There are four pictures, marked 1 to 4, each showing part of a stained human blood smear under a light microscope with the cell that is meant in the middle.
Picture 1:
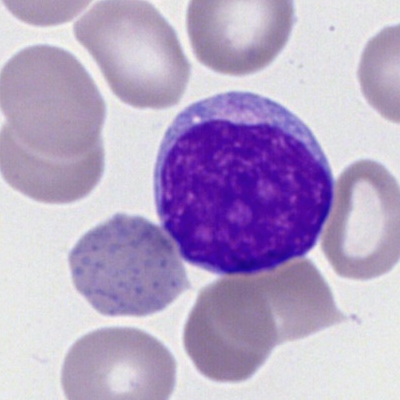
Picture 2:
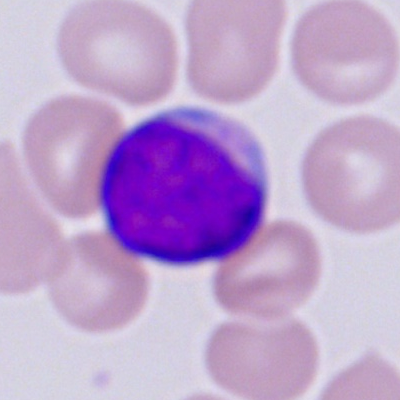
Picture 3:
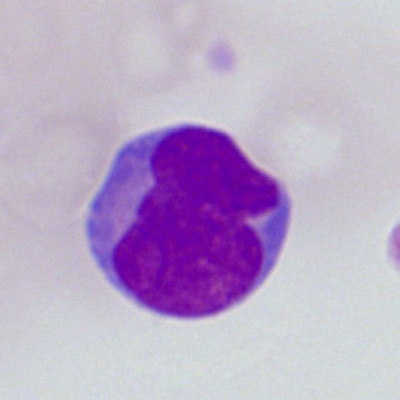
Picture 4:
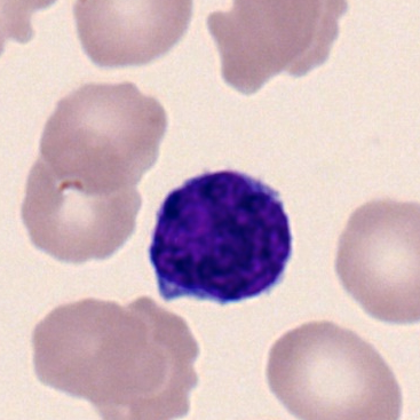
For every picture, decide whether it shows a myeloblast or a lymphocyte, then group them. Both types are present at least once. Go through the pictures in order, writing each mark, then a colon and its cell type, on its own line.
1: myeloblast
2: myeloblast
3: myeloblast
4: lymphocyte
